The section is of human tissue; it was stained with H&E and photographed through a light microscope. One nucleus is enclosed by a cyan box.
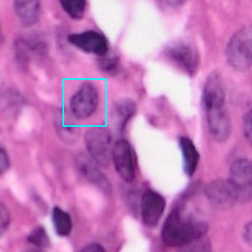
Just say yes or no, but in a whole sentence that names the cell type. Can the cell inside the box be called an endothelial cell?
No, the cell inside the box isn't an endothelial cell; it is a macrophage or monocyte.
